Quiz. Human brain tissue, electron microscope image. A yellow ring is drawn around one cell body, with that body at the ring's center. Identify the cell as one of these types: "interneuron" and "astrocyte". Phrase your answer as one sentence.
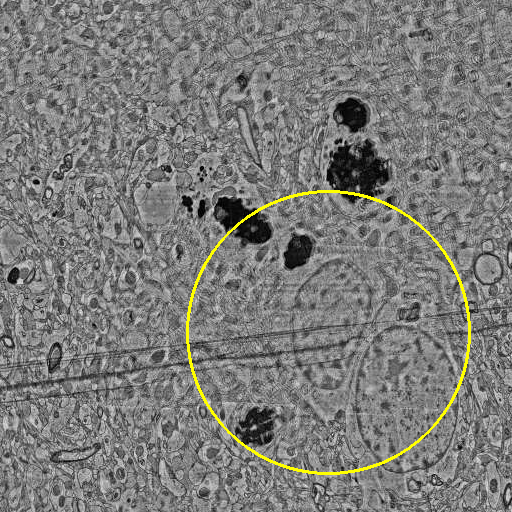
At the center of the ring sits an astrocyte.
